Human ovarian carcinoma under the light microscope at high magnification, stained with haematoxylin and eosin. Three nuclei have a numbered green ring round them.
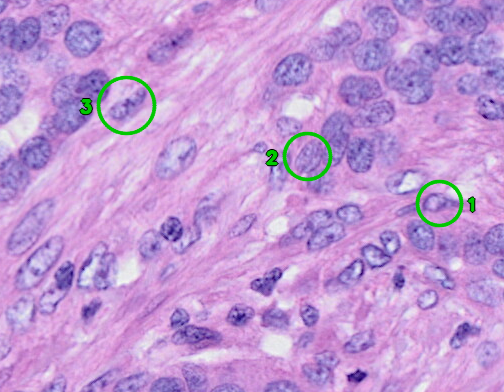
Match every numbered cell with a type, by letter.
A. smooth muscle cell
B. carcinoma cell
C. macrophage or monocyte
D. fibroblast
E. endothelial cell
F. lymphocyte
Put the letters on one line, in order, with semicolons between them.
D; B; D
